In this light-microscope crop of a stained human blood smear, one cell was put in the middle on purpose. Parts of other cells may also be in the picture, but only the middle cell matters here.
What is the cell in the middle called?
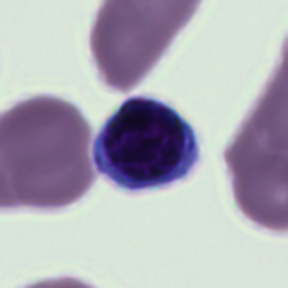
plasma cell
